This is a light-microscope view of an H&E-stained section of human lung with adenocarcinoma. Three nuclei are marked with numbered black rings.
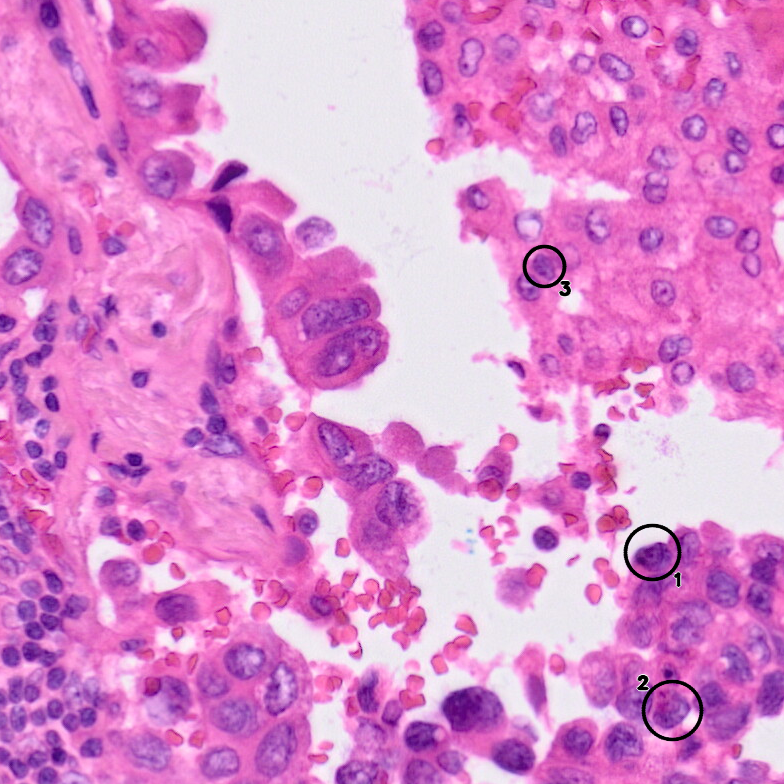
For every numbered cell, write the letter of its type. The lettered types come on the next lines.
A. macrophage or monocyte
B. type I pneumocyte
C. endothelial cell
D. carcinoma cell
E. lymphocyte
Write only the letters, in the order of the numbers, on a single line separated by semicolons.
D; D; A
